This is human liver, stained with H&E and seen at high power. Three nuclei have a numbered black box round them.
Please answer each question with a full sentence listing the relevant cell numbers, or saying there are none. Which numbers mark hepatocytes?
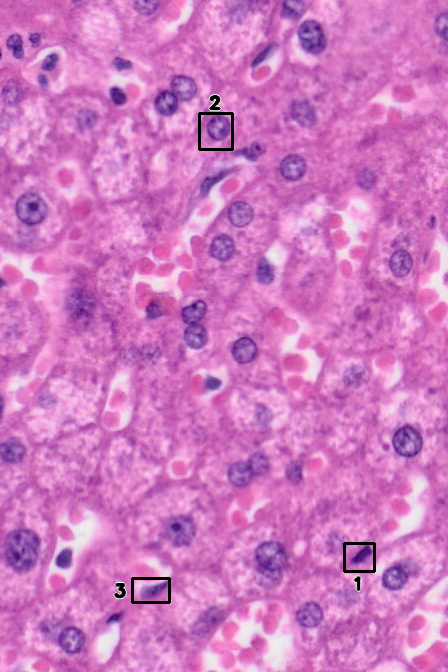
Mind that only cell 2 is a hepatocyte, none of the rest.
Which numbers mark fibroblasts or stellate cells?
Only the nucleus marked 1 is that of a fibroblast or stellate cell.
